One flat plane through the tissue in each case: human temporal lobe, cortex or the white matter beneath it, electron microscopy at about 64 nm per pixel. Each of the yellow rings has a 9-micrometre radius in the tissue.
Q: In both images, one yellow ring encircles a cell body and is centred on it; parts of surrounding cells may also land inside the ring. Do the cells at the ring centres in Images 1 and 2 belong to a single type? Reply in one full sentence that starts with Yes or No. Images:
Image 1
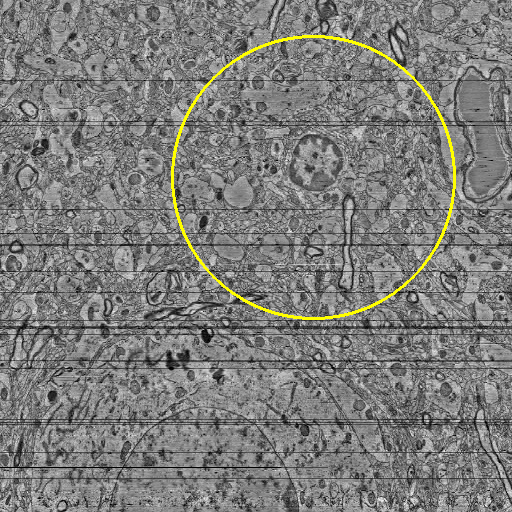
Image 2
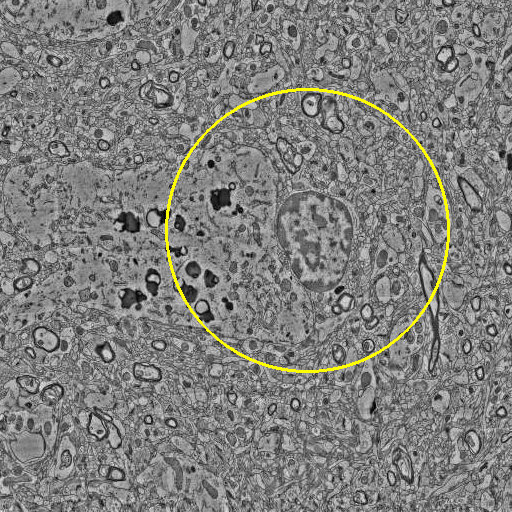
Yes, the cells at the ring centres in Images 1 and 2 are of a single type.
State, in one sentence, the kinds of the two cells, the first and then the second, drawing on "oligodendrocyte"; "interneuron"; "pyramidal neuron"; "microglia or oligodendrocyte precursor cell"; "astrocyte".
Both rings mark a microglial cell or oligodendrocyte precursor cell, one in each picture.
